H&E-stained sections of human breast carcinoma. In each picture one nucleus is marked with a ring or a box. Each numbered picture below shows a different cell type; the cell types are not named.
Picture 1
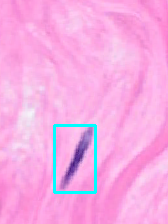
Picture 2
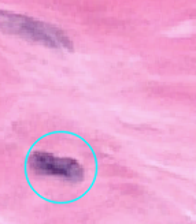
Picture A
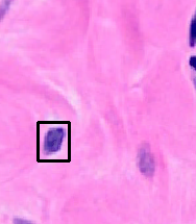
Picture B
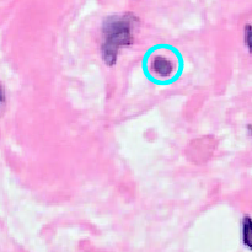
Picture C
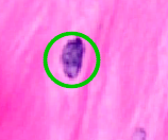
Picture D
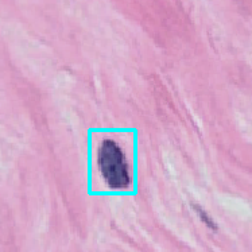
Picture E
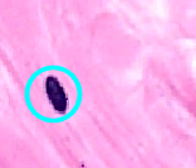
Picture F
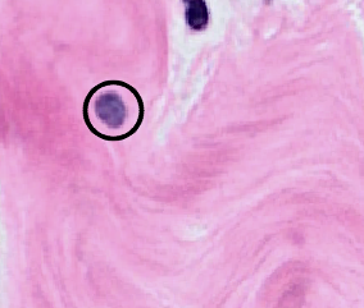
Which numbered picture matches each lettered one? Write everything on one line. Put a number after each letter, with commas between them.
A 2, B 2, C 2, D 2, E 2, F 2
